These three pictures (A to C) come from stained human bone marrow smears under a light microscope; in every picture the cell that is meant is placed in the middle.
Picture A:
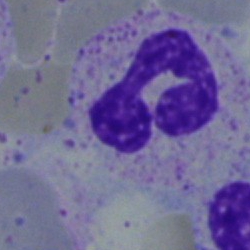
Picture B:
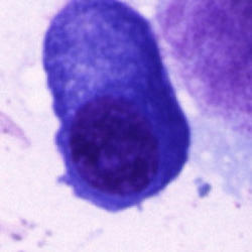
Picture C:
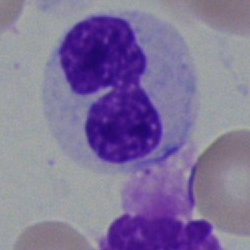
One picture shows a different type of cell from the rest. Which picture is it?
B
